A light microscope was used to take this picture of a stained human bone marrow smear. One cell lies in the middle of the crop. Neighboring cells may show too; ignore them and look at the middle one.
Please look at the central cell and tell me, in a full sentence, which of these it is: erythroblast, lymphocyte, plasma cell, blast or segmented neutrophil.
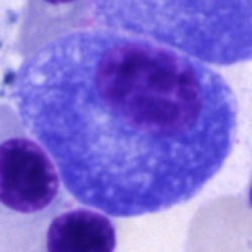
At the center of the crop sits a plasma cell.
